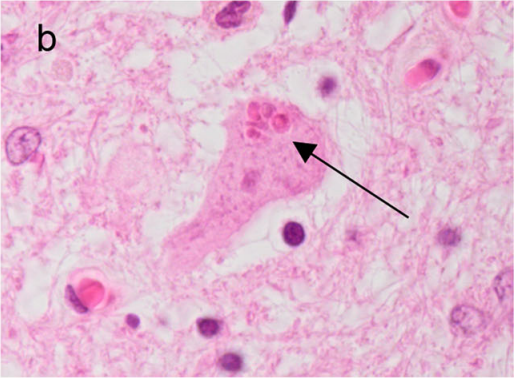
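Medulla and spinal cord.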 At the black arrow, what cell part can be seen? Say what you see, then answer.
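Bunina bodies. The arrow points to a small cluster of round, bright eosinophilic granules. The granules lie within the cytoplasm of a large neuron.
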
